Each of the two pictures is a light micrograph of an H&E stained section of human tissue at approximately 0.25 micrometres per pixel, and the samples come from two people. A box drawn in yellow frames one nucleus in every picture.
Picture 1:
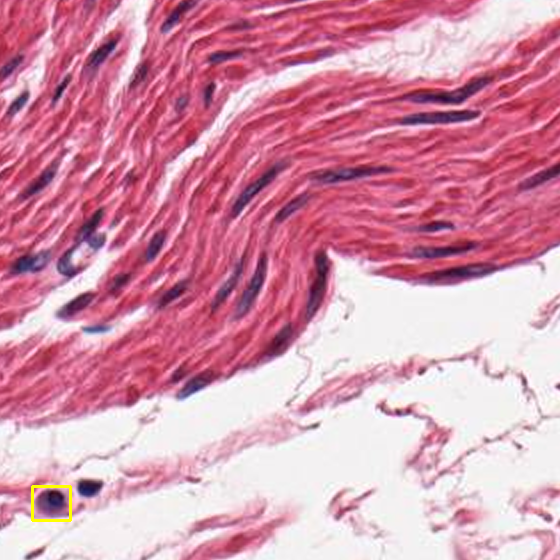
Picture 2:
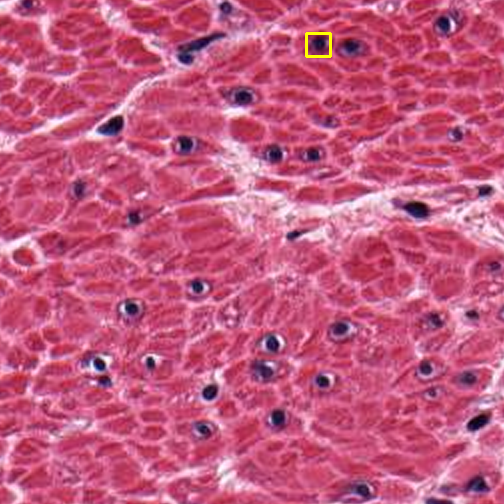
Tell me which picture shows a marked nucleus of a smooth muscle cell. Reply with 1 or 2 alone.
2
